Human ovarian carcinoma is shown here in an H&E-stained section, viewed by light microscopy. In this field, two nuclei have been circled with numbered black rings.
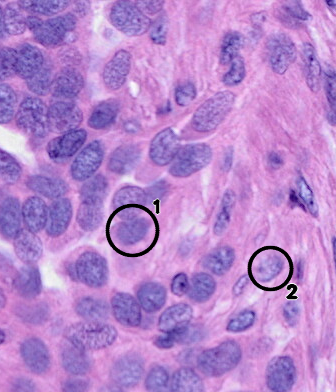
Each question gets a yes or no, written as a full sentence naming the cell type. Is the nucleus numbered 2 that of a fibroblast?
Yes, to put it simply, cell number 2 is a fibroblast.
